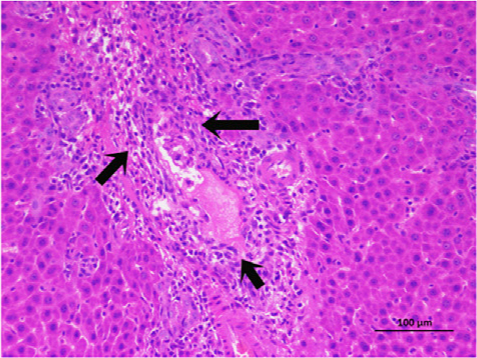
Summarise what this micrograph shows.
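This is liver tissue in which a vessel filled with pink material sits at the centre, surrounded by a broad zone of densely packed small cells with dark purple nuclei. This crowded zone extends outward as bands among the hepatocytes, breaking up the regular cords of pink liver cells around it. Away from this area the hepatocytes keep their polygonal shape, pink cytoplasm and round nuclei. Fibrous, pale-staining strands lie within the cellular zone around the vessel.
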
